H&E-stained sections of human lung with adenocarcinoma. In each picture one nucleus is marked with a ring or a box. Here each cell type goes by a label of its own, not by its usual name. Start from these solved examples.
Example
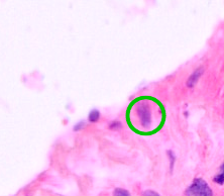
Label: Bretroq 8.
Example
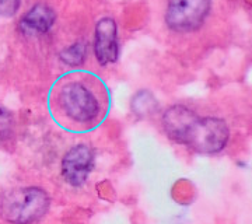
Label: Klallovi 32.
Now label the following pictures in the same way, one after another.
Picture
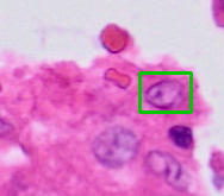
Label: Klallovi 32.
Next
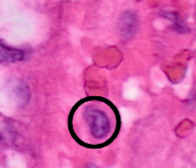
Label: Klallovi 32.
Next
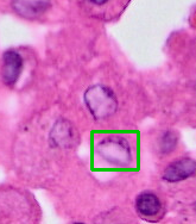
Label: Klallovi 32.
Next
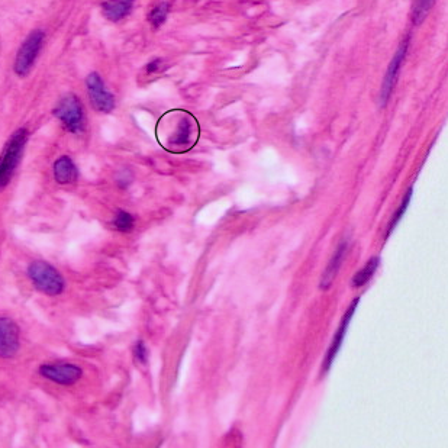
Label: Bretroq 8.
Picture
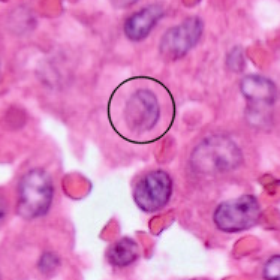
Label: Klallovi 32.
